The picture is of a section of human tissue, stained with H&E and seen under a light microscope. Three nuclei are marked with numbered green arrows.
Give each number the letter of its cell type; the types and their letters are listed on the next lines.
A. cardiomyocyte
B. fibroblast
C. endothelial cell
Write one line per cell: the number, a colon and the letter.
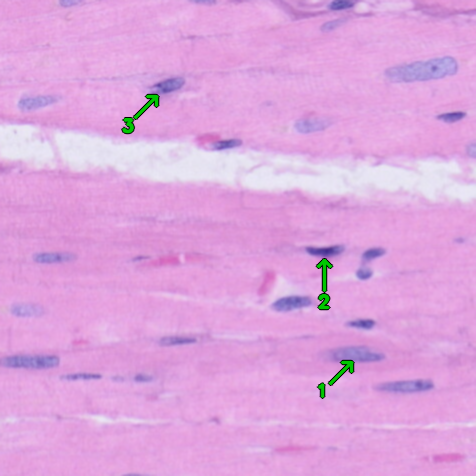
1: A
2: C
3: C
